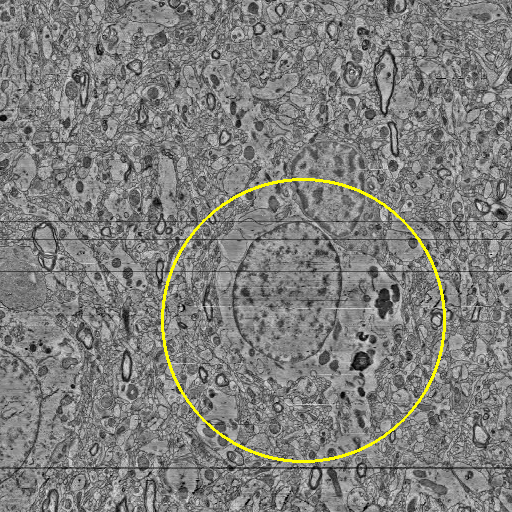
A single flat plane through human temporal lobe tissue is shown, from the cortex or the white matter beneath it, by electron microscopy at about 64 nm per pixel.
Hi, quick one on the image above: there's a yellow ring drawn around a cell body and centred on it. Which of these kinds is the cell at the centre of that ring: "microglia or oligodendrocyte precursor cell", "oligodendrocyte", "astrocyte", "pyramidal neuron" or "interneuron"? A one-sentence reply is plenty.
The cell at the centre of the ring is an astrocyte.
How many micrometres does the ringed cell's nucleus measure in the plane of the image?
Approximately 10 by 7 micrometers in this plane.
